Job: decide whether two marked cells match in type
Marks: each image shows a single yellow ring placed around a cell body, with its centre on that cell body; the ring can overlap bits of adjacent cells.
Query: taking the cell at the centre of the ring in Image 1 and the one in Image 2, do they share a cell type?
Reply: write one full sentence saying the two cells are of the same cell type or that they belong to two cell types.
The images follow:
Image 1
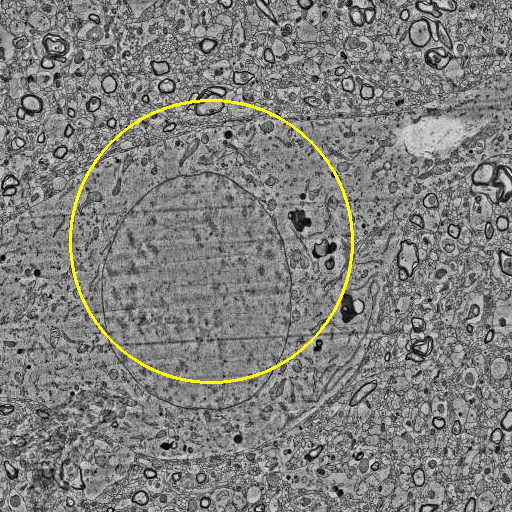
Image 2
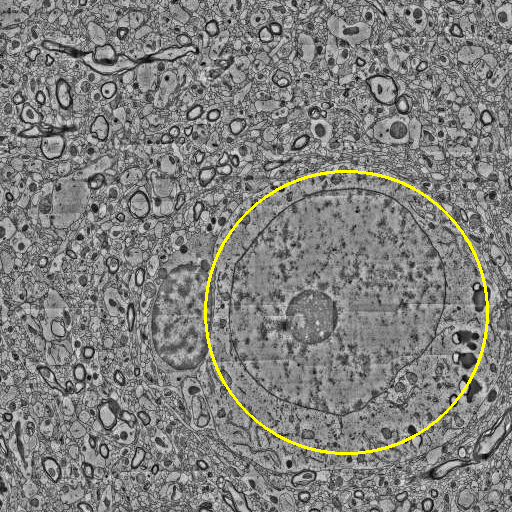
The cells at the ring centres in Image 1 and Image 2 are of the same cell type.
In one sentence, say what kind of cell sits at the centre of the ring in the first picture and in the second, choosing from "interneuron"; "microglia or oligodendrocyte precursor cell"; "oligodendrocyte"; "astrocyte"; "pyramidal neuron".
The first and the second cell are each a pyramidal neuron.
